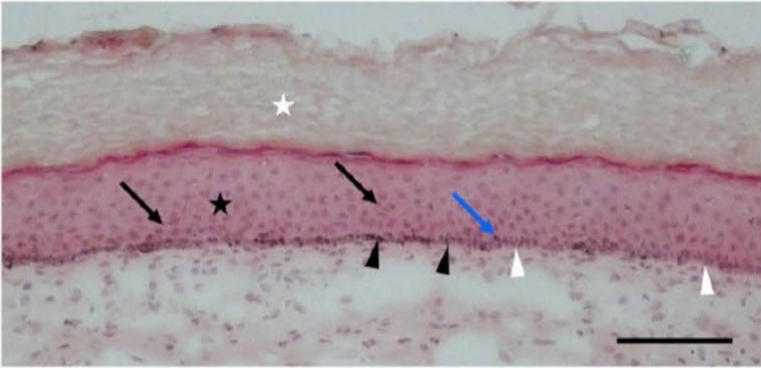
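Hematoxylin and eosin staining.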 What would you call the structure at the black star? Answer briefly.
The stratum spinosum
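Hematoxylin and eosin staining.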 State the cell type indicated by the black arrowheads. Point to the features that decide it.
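Pigmented clusters of melanocytes. The arrowheads point to dark brown-pigmented cell groups at the base of the epidermis. The groups sit at the junction with the pale underlying dermis.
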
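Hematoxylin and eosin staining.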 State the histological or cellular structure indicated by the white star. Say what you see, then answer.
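The star lies in the outermost pale, flaky layer on top of the epidermis. This layer has no visible nuclei. On this evidence: the stratum corneum.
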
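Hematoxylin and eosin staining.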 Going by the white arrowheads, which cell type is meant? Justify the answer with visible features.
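The arrowheads point to the bottom cell row of the epidermis. The cells there lack dark pigment.
Hence: unpigmented clusters of basal keratinocytes.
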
